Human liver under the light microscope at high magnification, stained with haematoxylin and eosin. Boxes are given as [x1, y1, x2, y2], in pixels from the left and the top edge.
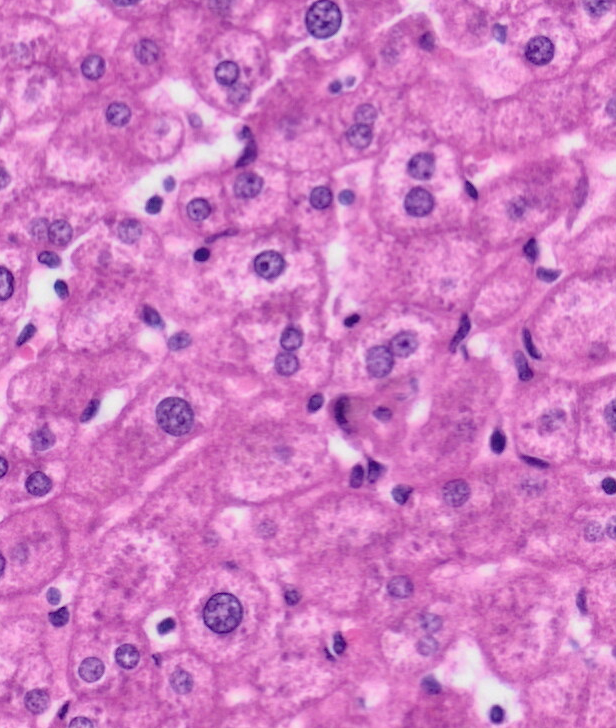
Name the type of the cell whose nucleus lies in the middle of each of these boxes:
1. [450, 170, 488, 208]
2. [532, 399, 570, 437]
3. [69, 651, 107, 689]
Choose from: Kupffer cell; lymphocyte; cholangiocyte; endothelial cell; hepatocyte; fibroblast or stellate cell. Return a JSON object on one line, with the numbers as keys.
{"1": "fibroblast or stellate cell", "2": "hepatocyte", "3": "hepatocyte"}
